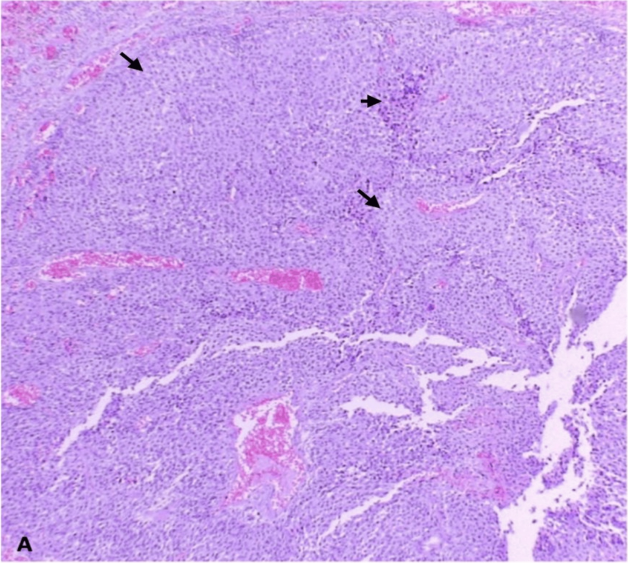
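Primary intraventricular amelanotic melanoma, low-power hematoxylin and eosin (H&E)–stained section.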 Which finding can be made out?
Sheet-like growth pattern.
